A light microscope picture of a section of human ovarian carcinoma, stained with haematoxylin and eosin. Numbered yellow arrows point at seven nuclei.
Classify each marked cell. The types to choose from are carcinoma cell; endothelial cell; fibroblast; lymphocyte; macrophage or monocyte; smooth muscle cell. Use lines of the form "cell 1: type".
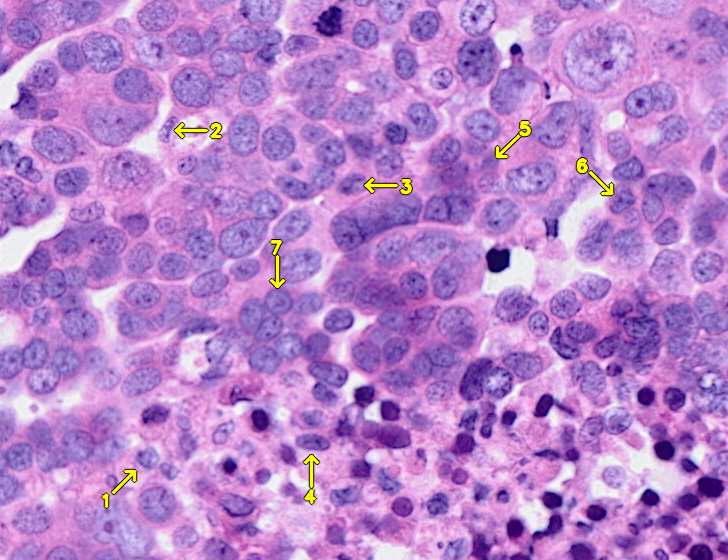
cell 1: macrophage or monocyte
cell 2: macrophage or monocyte
cell 3: macrophage or monocyte
cell 4: macrophage or monocyte
cell 5: carcinoma cell
cell 6: carcinoma cell
cell 7: carcinoma cell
